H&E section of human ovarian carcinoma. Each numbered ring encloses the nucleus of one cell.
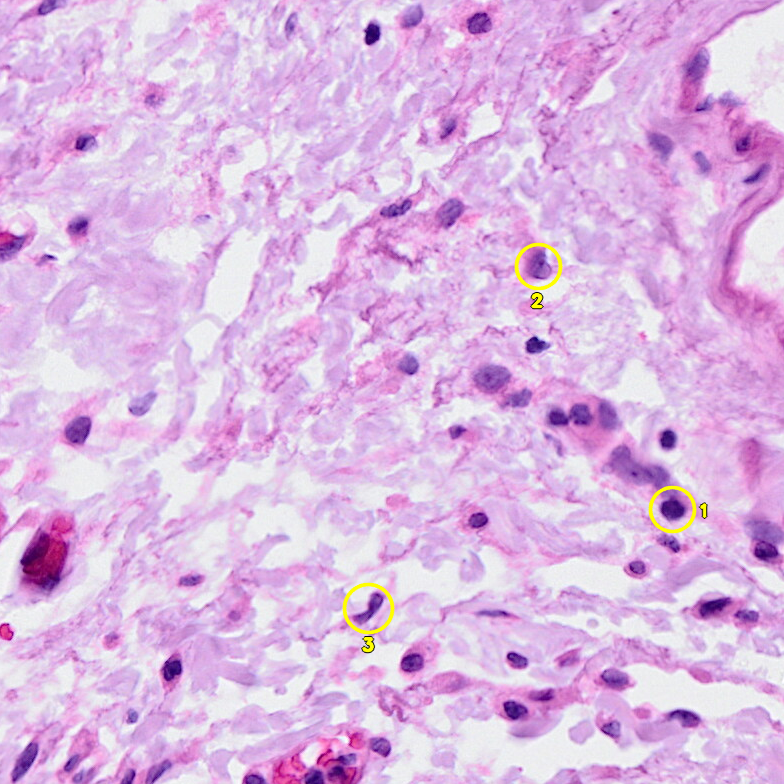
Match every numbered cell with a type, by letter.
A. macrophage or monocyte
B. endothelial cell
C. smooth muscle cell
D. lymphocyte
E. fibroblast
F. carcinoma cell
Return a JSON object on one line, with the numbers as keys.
{"1": "D", "2": "E", "3": "E"}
